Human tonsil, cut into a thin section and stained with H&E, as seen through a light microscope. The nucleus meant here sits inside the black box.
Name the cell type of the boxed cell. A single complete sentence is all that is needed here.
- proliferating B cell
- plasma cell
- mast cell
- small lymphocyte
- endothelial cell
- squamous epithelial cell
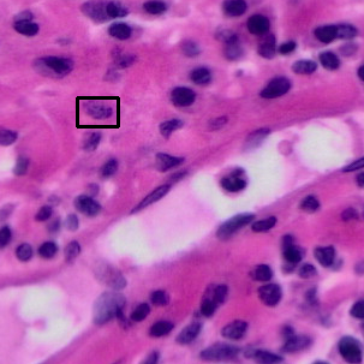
For cell typing purposes, the boxed cell is a mast cell.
